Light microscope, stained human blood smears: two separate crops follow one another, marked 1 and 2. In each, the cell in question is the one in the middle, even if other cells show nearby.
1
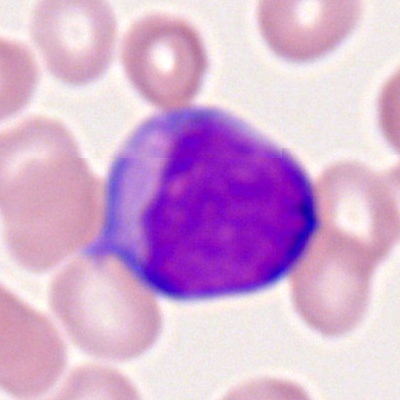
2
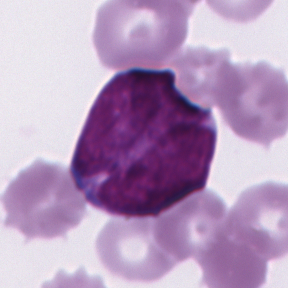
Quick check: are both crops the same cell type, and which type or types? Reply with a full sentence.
Yes, the crops both have blasts in the middle.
